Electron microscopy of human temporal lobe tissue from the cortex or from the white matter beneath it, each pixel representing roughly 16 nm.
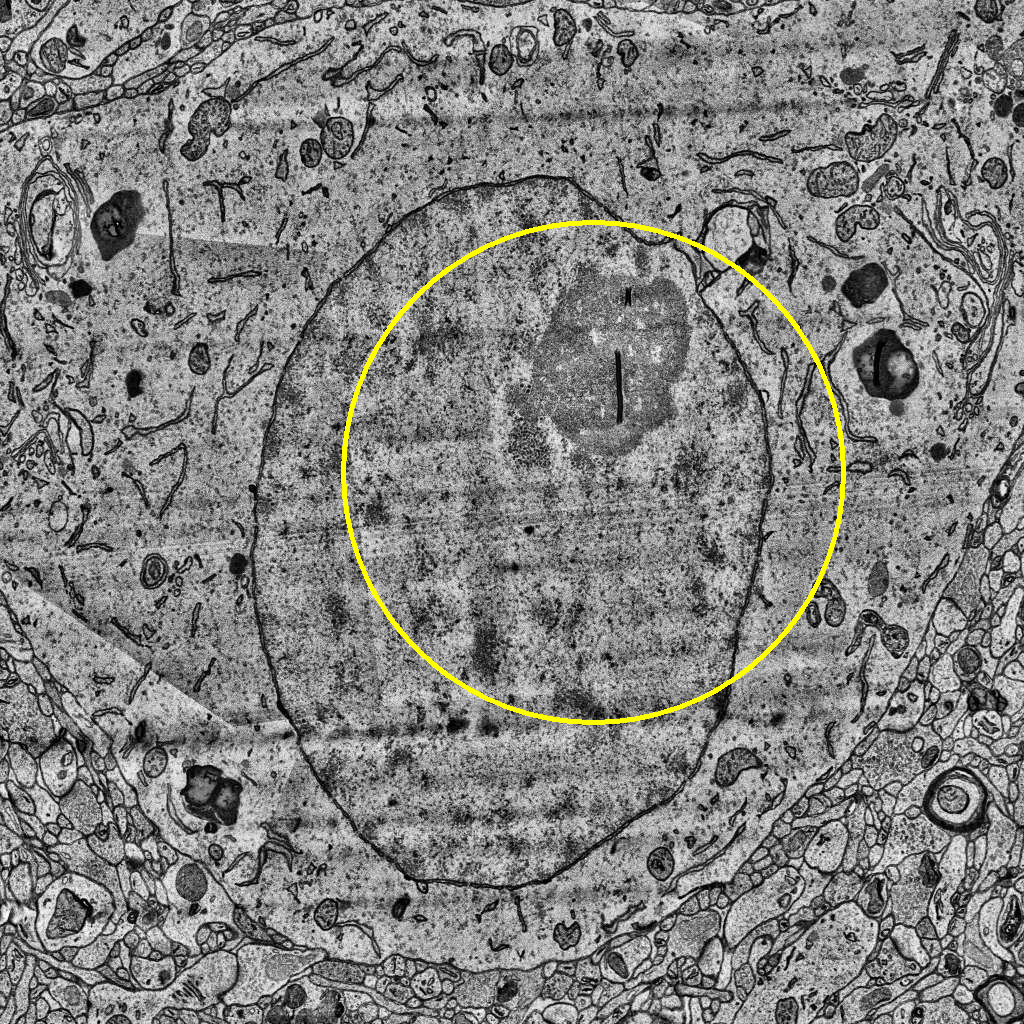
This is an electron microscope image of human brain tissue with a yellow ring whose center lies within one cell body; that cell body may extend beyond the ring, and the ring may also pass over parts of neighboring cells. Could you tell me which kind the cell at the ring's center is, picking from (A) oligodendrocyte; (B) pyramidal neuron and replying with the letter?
B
